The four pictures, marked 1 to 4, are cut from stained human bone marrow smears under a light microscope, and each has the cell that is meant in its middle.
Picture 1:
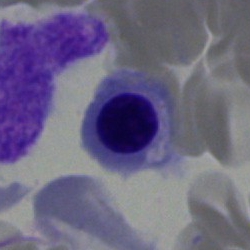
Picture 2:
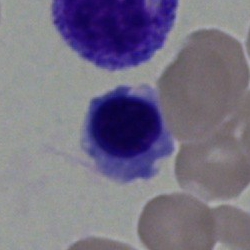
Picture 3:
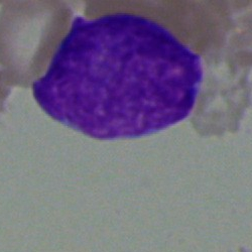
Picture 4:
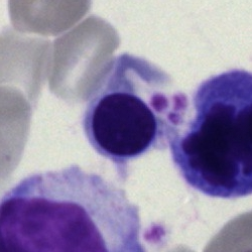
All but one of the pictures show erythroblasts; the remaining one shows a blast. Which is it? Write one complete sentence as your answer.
The blast is the one in picture 3.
